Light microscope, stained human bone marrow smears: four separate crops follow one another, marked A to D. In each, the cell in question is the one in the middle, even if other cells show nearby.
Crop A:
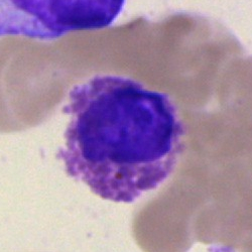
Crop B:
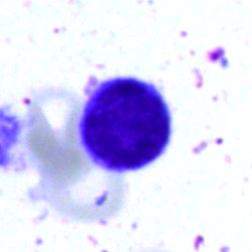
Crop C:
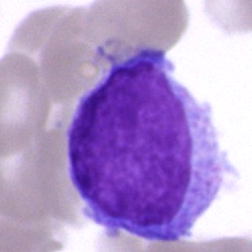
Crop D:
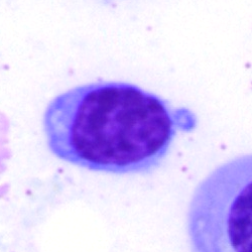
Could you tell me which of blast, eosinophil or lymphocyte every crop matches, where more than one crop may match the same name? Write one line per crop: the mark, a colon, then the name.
A: eosinophil
B: lymphocyte
C: blast
D: lymphocyte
